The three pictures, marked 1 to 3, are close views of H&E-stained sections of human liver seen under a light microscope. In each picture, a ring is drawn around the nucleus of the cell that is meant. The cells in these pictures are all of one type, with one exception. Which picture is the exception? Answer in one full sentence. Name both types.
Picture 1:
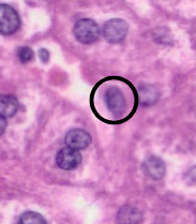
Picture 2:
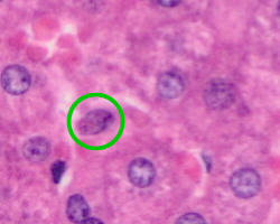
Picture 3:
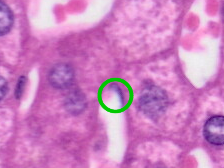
The others show Kupffer cells, but picture 3 shows an endothelial cell.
